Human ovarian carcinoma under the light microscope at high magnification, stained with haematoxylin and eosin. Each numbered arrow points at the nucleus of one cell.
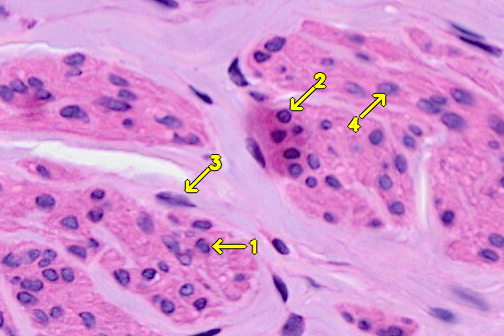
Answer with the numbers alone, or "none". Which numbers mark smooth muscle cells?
1, 2, 4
